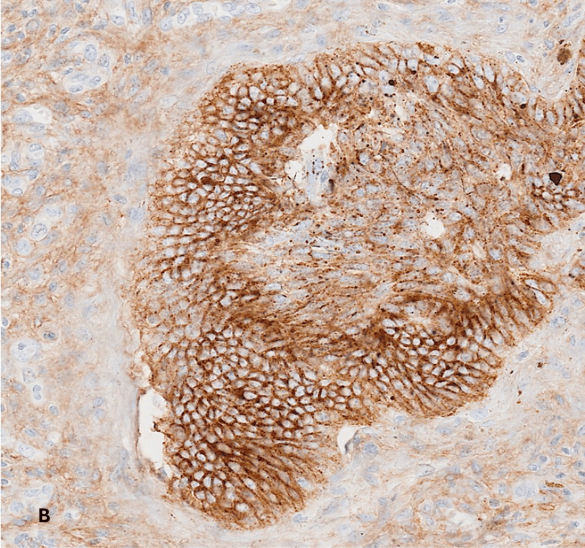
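This is a nest of tumor cells lying in a loose stroma, stained brown at the cell borders and in the cytoplasm. The brown outlines around each cell give the nest a honeycomb look, with pale blue oval nuclei sitting in the middle of each outlined cell. The surrounding stroma holds scattered spindle and oval cells that are only faintly tinted, much lighter than the nest.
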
